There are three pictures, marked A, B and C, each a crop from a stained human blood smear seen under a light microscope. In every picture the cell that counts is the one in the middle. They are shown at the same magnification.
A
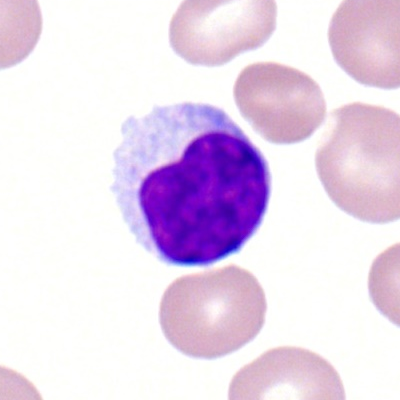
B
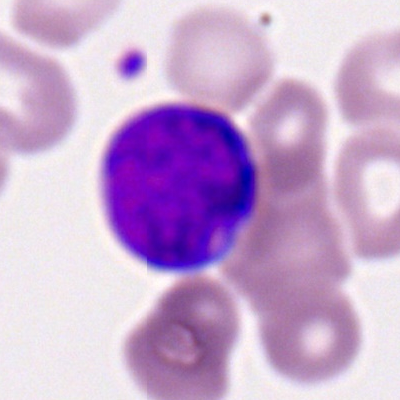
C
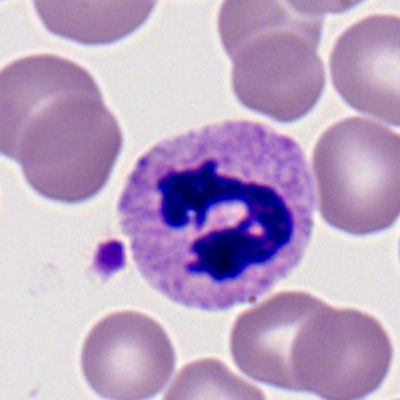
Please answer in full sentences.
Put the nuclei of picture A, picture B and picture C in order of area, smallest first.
From the smallest up, the order is C, A, B.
